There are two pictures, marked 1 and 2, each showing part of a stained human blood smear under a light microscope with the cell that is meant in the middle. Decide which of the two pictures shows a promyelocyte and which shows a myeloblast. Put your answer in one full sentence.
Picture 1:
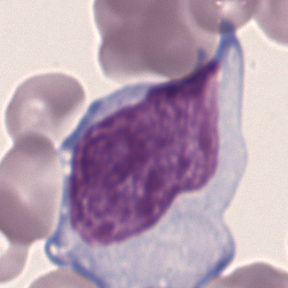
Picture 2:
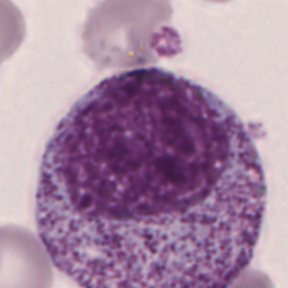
Picture 1 shows a myeloblast and picture 2 shows a promyelocyte.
